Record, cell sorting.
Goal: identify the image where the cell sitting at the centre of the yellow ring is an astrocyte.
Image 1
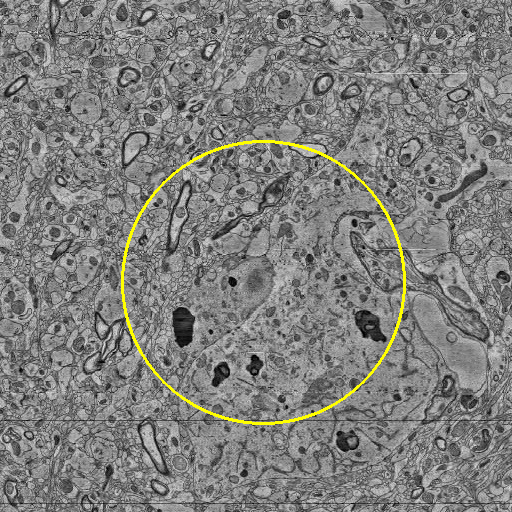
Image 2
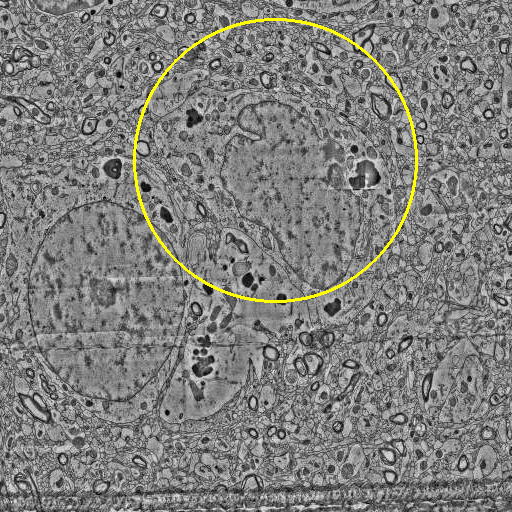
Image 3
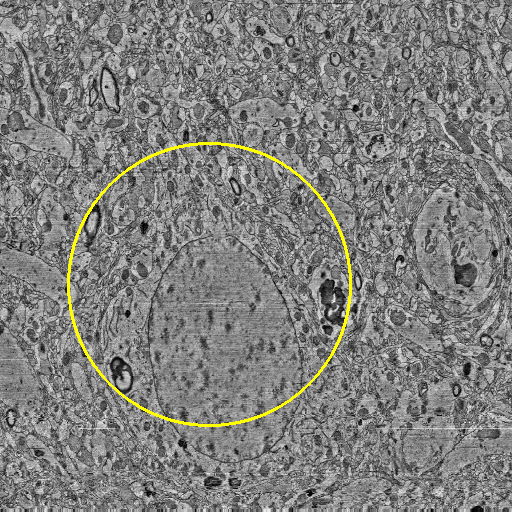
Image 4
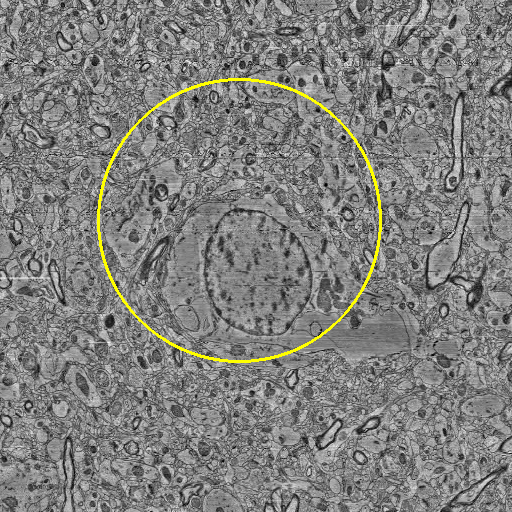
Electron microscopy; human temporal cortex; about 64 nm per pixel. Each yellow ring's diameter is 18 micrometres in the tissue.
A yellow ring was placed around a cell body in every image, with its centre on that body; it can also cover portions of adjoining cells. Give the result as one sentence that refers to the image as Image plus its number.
Image 4 shows the requested cell sitting right at the centre of its ring.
